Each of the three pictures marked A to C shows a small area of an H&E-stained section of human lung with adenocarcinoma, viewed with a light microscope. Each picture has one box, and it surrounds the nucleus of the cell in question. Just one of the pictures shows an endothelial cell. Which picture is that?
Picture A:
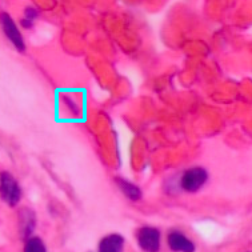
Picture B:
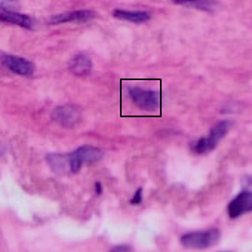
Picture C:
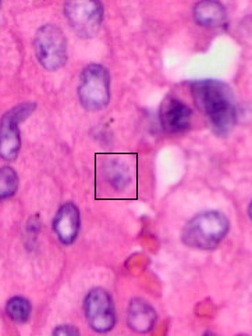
A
